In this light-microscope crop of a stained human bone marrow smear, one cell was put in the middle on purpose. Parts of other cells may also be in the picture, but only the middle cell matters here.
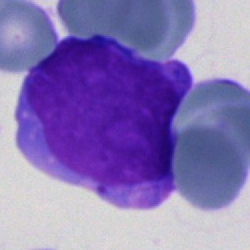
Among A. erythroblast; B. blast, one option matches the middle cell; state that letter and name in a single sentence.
The cell right in the middle is a blast, so option B is the one.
